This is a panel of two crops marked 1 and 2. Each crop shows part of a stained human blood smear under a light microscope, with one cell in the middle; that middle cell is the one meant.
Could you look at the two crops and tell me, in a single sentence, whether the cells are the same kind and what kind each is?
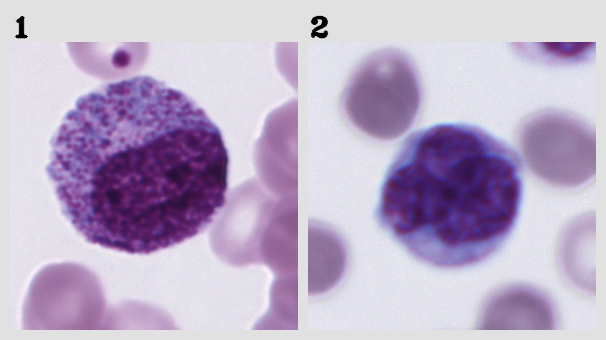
No, the cells are a promyelocyte in crop 1 and a monocyte in crop 2.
